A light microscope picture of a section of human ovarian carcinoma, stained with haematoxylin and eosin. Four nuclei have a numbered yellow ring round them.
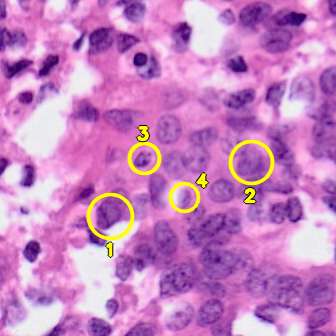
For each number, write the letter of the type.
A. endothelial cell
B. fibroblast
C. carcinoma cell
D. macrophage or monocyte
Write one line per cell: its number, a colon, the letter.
1: C
2: C
3: D
4: C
